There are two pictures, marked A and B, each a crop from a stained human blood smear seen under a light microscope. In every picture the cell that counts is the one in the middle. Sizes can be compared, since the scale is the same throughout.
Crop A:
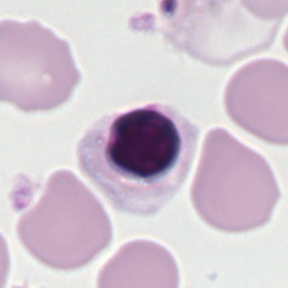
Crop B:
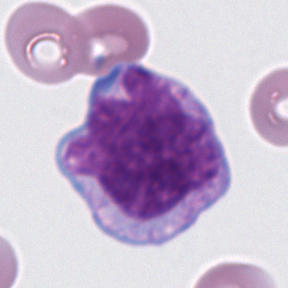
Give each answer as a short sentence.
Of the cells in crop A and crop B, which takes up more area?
It is the cell in crop B, about 2.5 times as large in area as the cell in crop A.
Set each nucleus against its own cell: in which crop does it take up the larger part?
Of the two, the nucleus in crop B makes up the greater part of its cell.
